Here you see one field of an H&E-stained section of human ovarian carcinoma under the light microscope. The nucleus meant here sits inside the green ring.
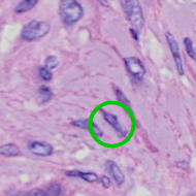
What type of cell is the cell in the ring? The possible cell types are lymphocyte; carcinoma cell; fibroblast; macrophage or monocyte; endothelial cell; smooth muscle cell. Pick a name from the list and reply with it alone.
fibroblast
